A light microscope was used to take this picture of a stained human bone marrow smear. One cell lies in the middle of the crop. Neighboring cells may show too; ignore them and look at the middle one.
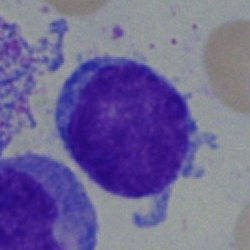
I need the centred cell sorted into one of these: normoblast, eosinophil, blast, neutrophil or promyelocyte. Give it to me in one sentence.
The centrally positioned cell in the crop represents a blast.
